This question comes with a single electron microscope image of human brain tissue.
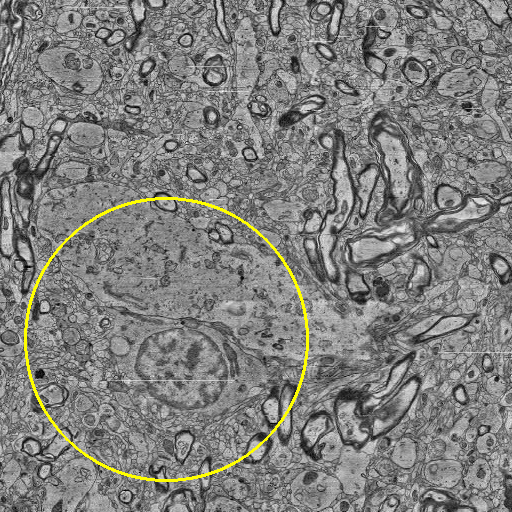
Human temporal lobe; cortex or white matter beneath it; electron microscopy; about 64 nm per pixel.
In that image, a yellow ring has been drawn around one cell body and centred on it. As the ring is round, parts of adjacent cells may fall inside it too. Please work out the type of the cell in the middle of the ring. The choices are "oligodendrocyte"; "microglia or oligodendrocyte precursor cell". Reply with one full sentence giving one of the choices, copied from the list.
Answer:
Of the choices, an oligodendrocyte is the cell sitting in the middle of the ring.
